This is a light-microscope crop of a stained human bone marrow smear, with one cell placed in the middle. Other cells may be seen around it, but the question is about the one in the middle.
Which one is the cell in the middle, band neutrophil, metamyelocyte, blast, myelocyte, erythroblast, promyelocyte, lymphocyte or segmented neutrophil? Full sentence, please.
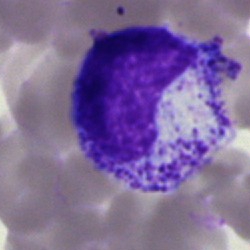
This particular crop is centered on a metamyelocyte.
